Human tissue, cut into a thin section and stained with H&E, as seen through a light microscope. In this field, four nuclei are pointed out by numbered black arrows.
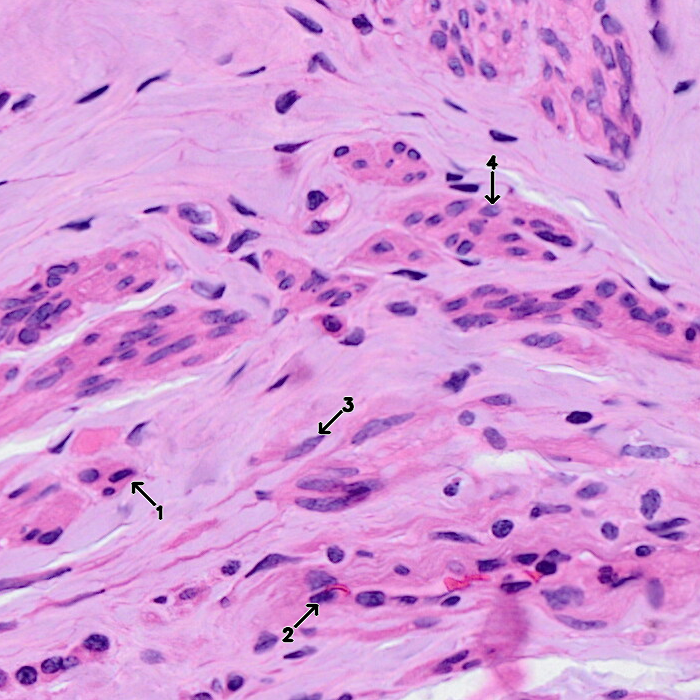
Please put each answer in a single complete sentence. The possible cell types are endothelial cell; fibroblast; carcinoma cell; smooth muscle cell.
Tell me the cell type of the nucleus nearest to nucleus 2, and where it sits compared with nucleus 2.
An endothelial cell lies closest, above nucleus 2.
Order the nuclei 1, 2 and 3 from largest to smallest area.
From largest to smallest, the order is 3, 2, 1.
